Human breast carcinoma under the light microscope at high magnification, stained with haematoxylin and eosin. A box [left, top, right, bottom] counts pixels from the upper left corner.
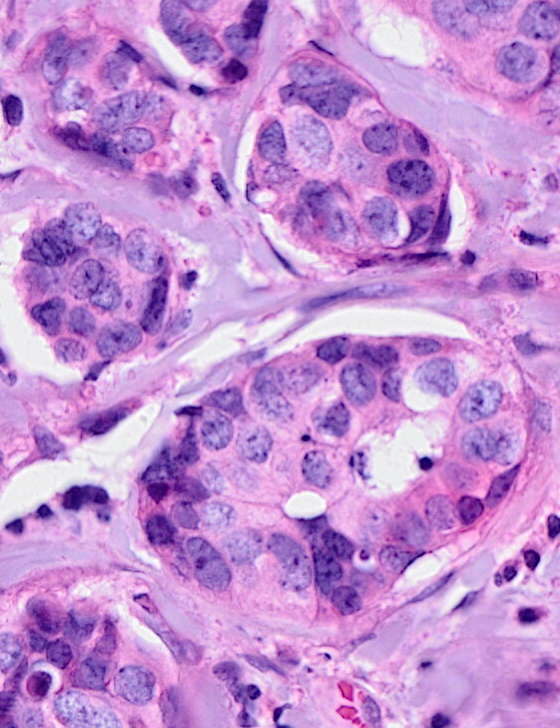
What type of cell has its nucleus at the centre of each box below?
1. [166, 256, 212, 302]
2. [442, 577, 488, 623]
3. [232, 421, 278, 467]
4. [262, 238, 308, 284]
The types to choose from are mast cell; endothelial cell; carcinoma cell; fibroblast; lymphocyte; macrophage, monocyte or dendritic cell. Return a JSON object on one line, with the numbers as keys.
{"1": "lymphocyte", "2": "fibroblast", "3": "carcinoma cell", "4": "fibroblast"}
